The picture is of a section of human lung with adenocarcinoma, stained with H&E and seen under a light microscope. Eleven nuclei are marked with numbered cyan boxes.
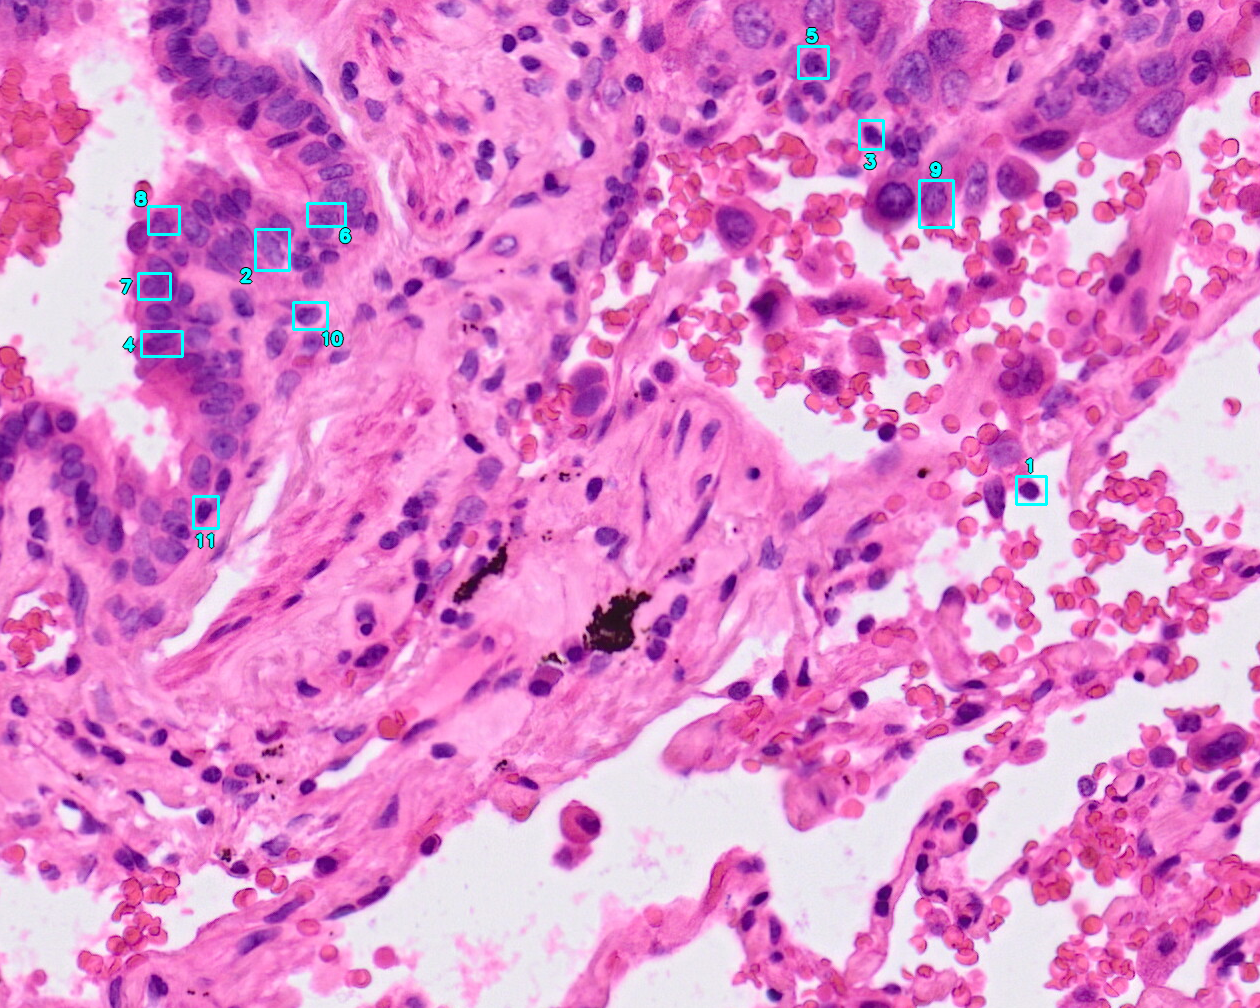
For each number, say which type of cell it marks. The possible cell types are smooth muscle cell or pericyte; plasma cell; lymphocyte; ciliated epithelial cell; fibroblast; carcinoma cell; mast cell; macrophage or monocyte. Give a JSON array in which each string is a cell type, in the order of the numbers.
["lymphocyte", "ciliated epithelial cell", "lymphocyte", "ciliated epithelial cell", "lymphocyte", "ciliated epithelial cell", "ciliated epithelial cell", "ciliated epithelial cell", "carcinoma cell", "lymphocyte", "lymphocyte"]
